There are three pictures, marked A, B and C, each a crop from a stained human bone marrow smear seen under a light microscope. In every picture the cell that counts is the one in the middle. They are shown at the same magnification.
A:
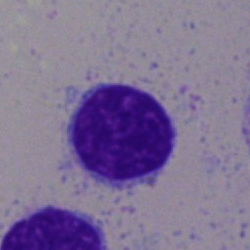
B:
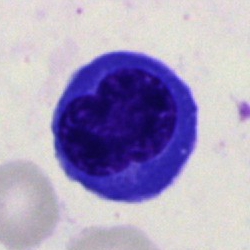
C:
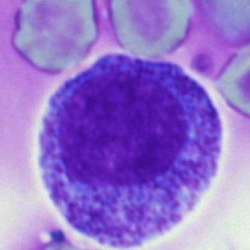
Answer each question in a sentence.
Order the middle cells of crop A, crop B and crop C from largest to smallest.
From the largest down, the order is C, B, A.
